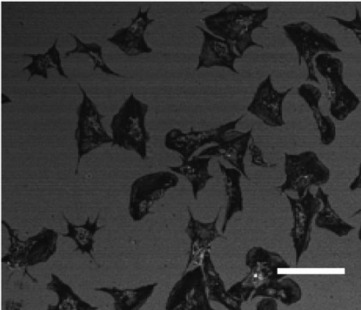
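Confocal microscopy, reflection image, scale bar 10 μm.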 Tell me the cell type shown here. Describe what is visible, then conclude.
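Small flattened cells spread on the surface with star-like, pointed edges. A granular centre sits within a thin spread margin. No nucleus is apparent in the cells. The answer: platelets.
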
